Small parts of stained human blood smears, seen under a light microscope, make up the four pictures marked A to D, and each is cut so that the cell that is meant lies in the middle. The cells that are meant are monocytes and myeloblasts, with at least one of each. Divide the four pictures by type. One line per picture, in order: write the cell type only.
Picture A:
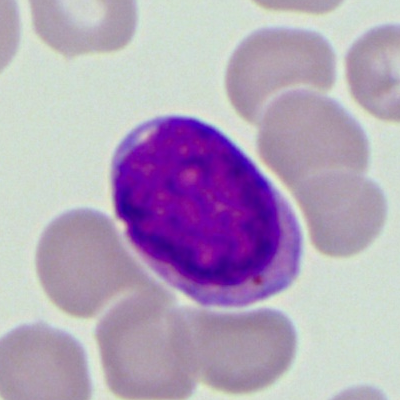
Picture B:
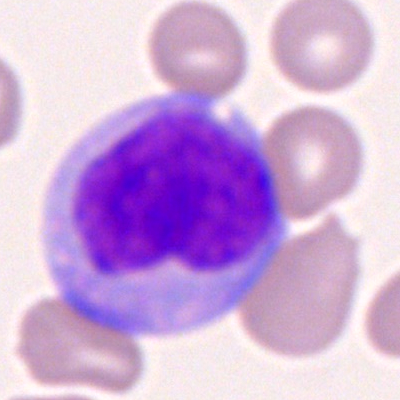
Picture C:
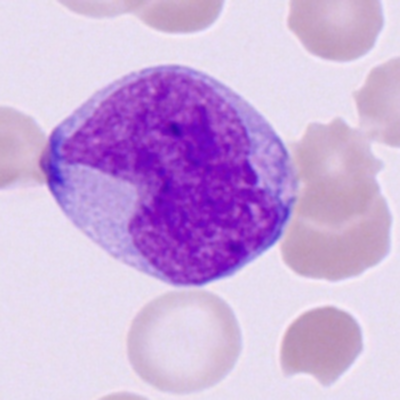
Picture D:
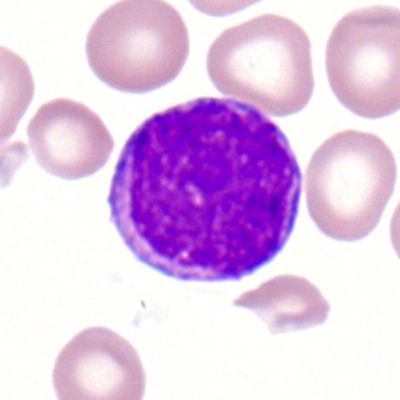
myeloblast
monocyte
myeloblast
myeloblast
